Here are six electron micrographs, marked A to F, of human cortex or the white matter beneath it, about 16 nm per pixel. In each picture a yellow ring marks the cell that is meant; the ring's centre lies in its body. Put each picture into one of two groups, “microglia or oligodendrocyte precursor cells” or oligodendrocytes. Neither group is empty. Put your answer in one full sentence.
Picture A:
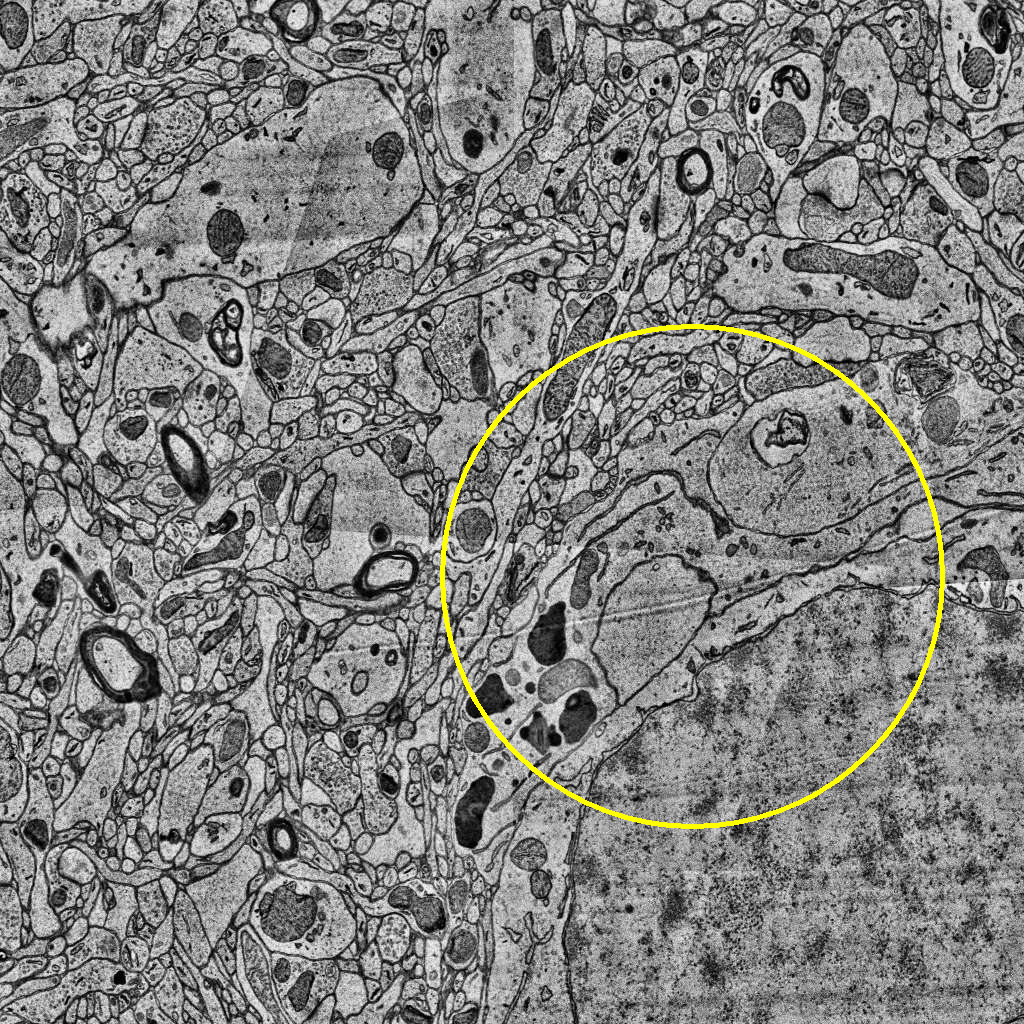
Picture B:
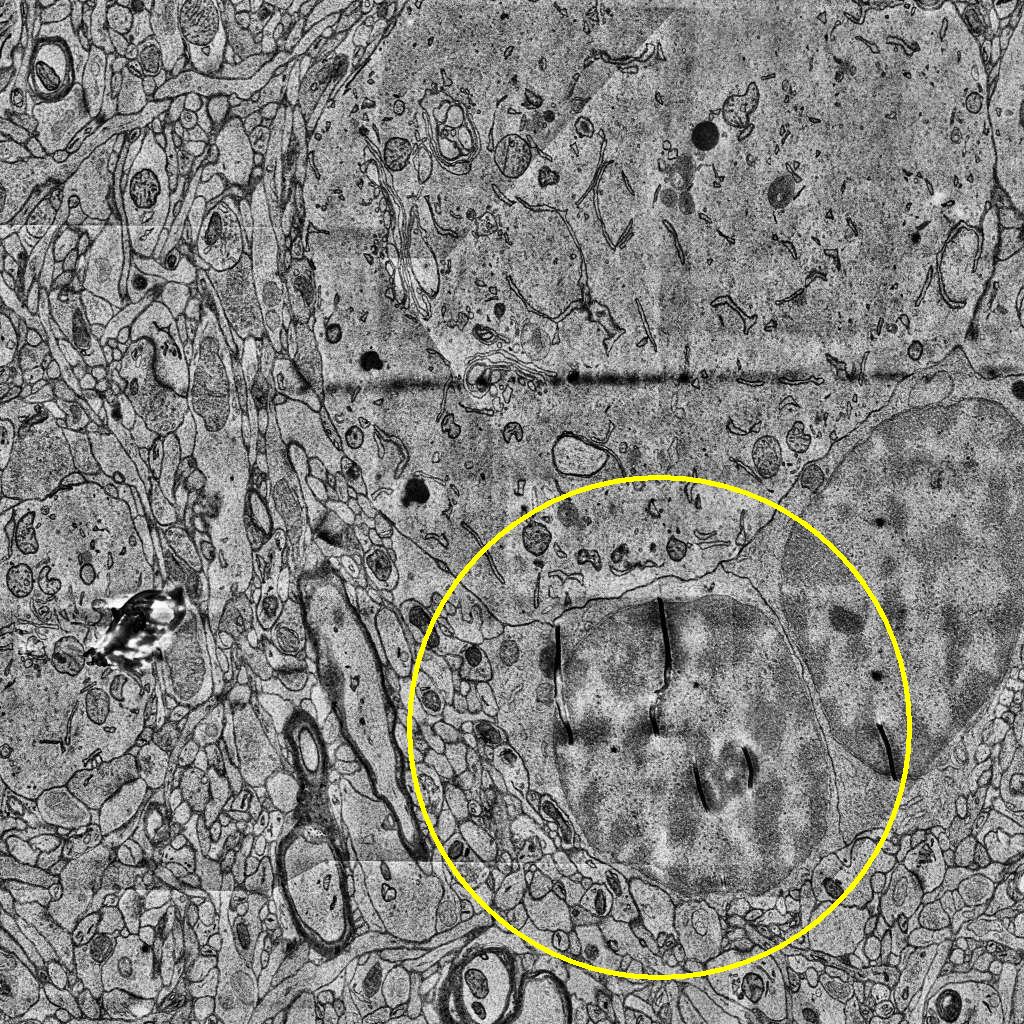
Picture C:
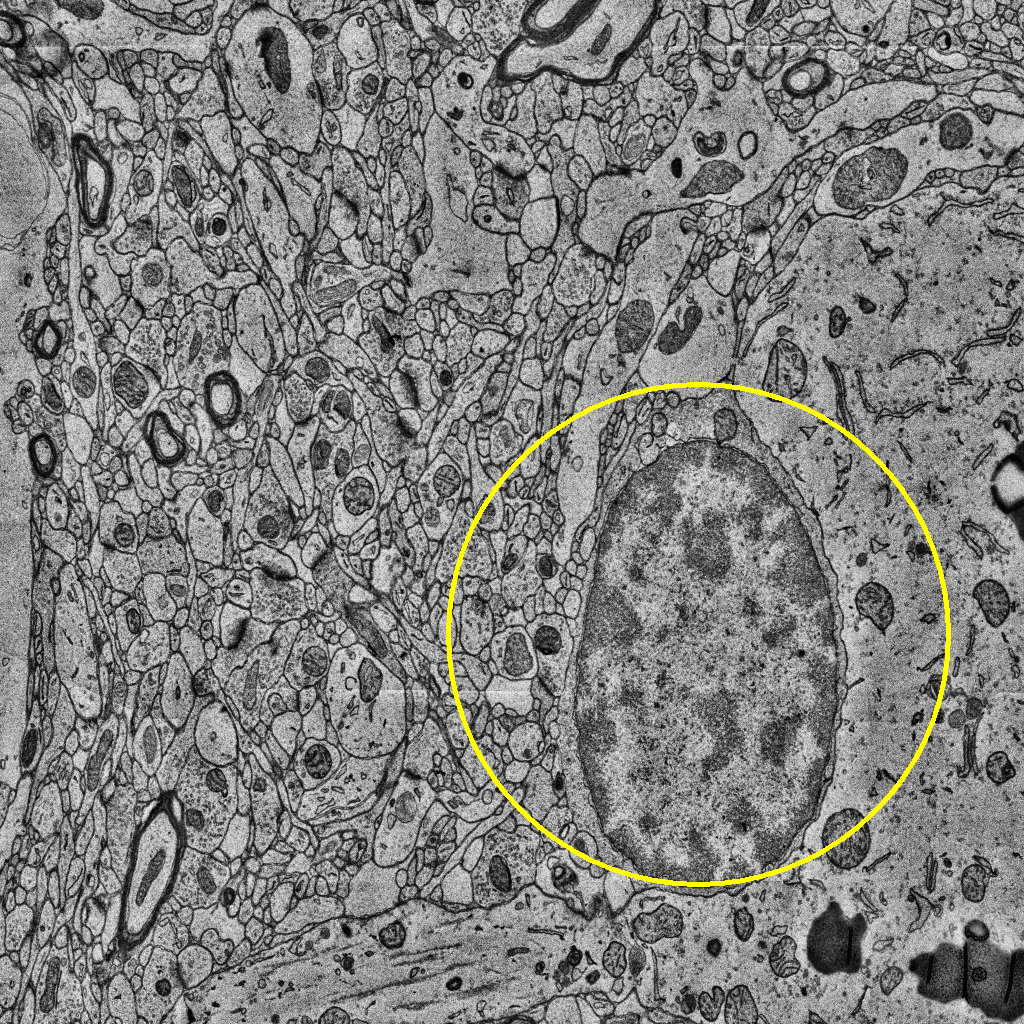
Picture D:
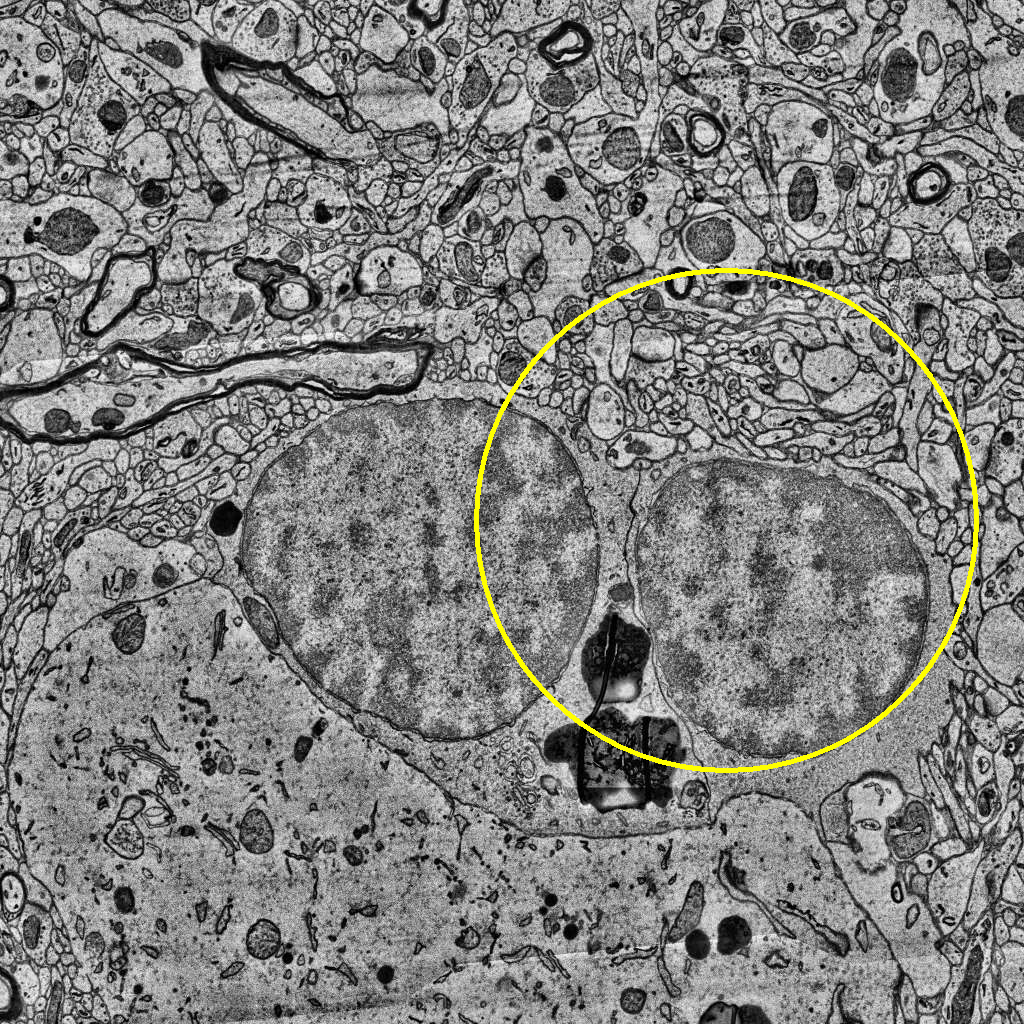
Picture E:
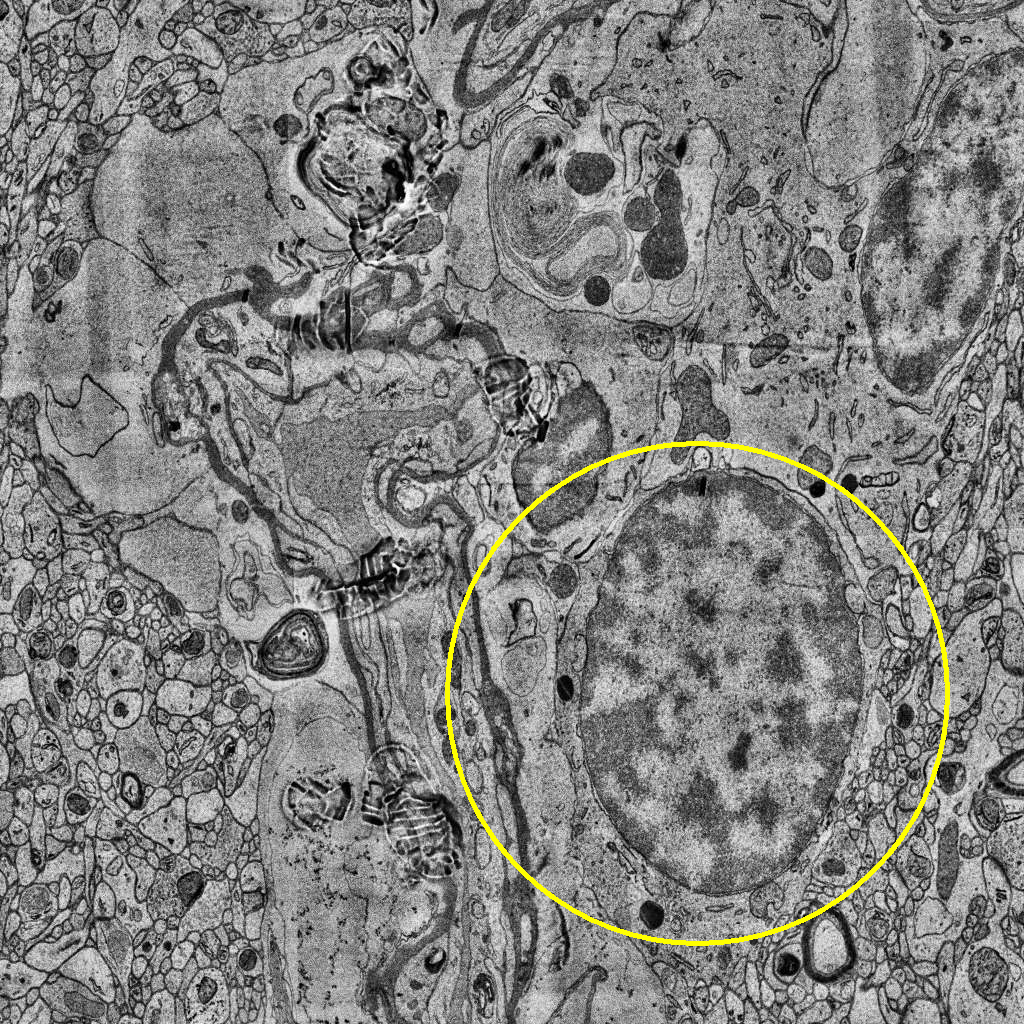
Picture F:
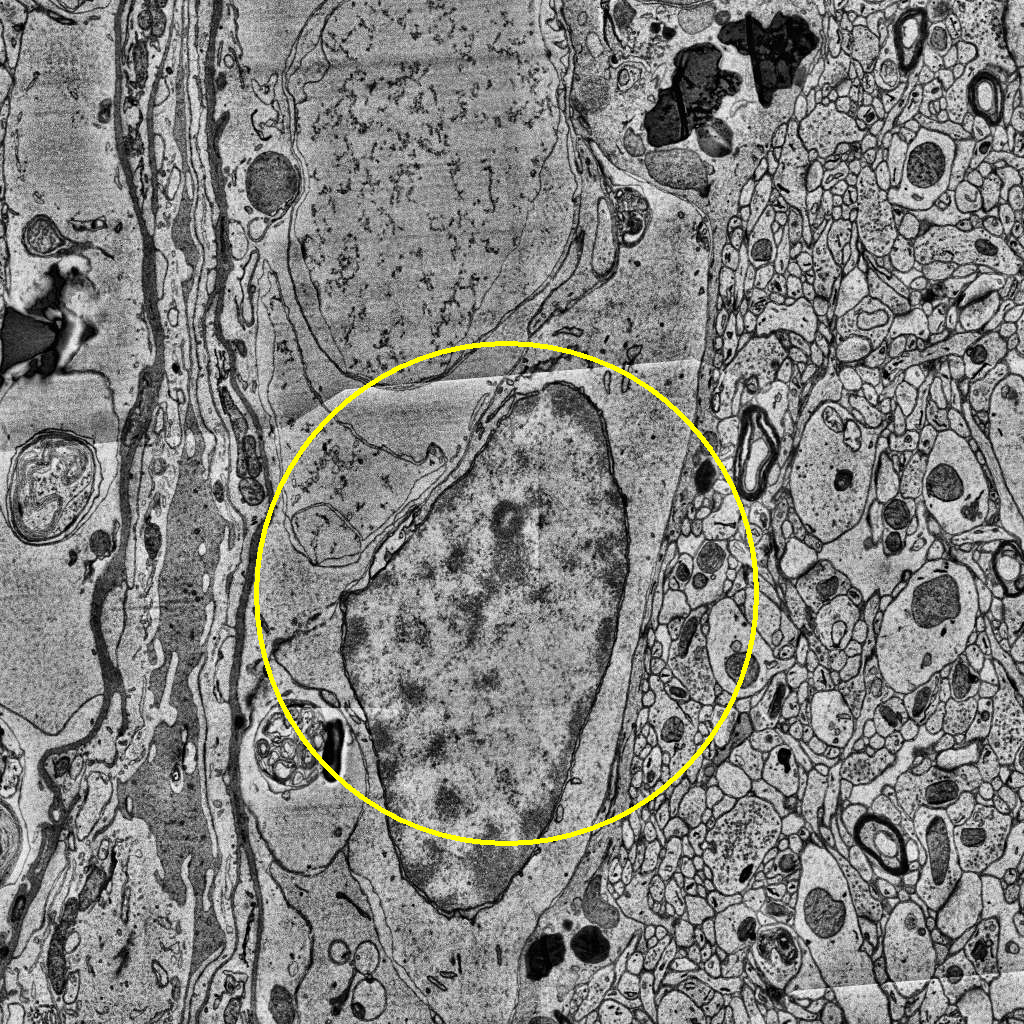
Pictures A and F show “microglia or oligodendrocyte precursor cells”, while pictures B, C, D and E show oligodendrocytes.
